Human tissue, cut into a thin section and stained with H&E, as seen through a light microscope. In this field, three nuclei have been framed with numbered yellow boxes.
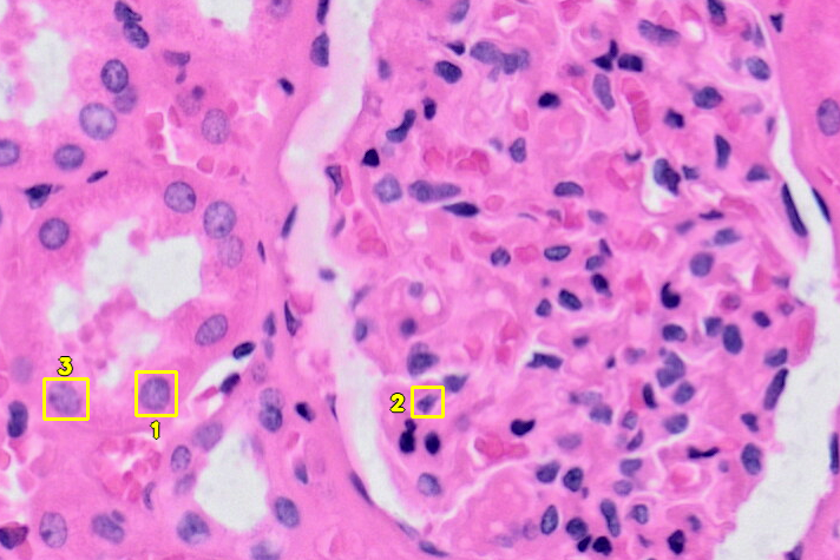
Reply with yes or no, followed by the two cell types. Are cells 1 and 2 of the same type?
No, cell 1 is a proximal tubule cell and cell 2 is an endothelial cell.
